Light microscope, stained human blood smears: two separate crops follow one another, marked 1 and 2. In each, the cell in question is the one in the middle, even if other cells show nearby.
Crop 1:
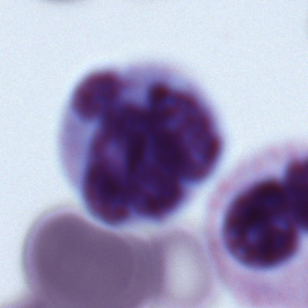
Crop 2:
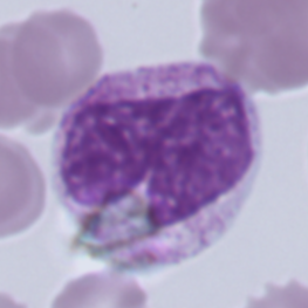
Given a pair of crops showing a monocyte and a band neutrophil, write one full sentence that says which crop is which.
Crop 1 is a monocyte, whereas a band neutrophil is found in crop 2.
